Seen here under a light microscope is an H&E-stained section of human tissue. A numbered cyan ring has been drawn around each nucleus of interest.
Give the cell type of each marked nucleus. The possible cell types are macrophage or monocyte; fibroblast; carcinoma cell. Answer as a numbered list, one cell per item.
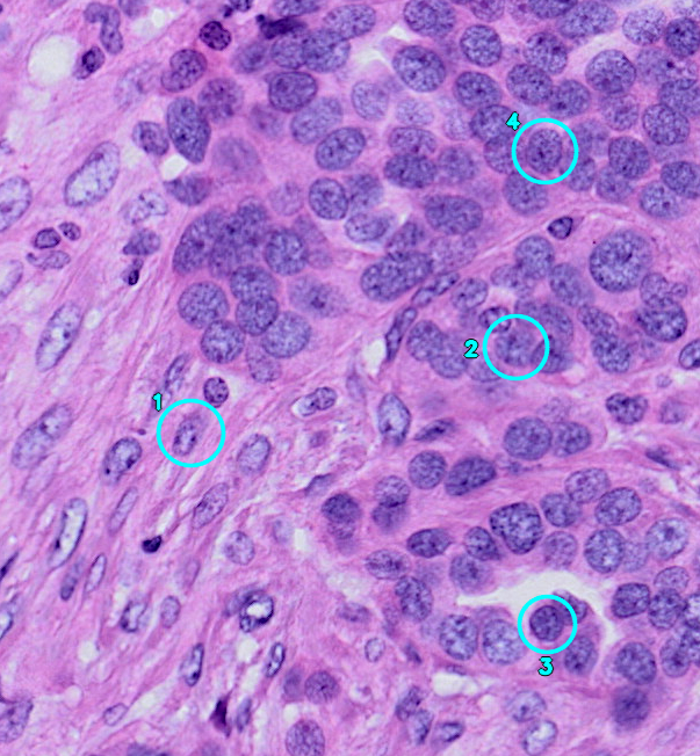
1. fibroblast
2. carcinoma cell
3. carcinoma cell
4. carcinoma cell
